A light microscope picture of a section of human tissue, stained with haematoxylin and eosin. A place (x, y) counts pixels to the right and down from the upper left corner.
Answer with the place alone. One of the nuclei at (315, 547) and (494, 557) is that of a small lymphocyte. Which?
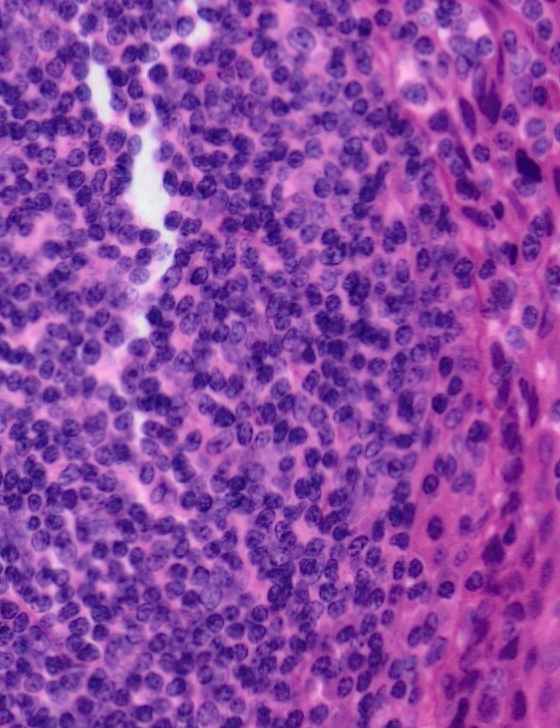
(315, 547)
